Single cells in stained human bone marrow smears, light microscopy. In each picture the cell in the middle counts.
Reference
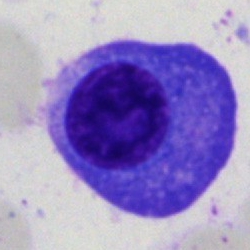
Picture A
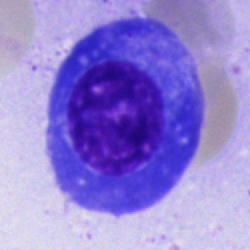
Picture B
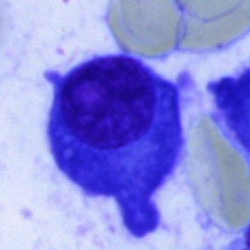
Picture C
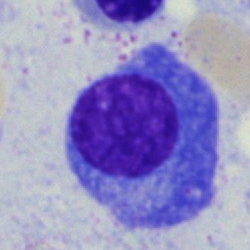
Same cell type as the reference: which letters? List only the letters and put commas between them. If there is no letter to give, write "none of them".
A, B, C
